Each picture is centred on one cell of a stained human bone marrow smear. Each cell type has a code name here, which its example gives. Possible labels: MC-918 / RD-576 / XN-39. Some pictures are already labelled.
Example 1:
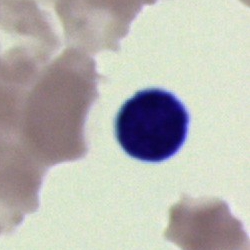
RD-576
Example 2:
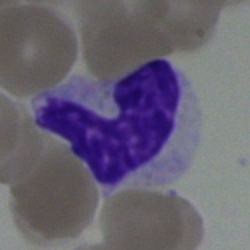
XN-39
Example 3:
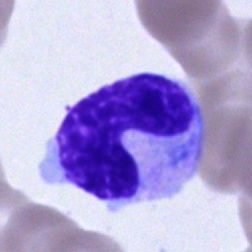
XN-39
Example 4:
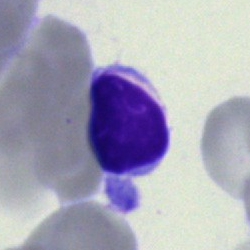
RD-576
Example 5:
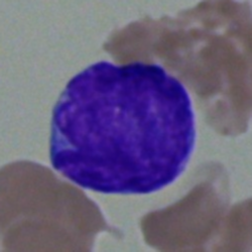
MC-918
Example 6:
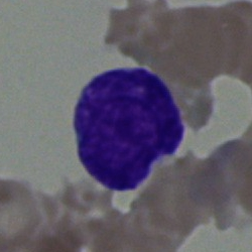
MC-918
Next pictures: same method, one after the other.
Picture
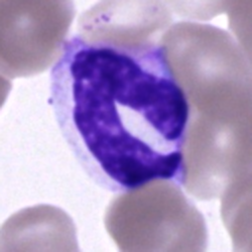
XN-39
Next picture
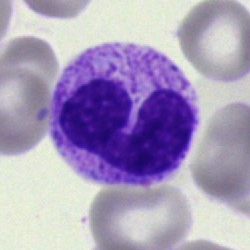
XN-39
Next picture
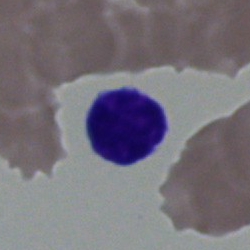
RD-576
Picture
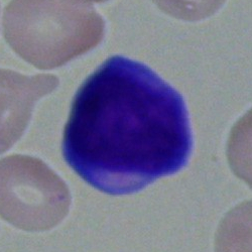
MC-918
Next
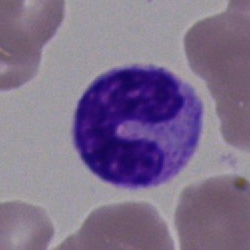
XN-39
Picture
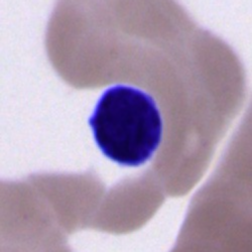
RD-576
